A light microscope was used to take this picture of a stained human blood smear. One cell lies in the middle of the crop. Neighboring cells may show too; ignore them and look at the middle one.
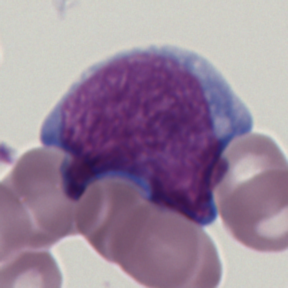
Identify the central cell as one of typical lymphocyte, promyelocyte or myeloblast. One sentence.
The cell in the middle of this crop is a myeloblast.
